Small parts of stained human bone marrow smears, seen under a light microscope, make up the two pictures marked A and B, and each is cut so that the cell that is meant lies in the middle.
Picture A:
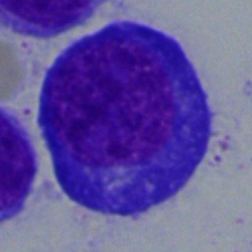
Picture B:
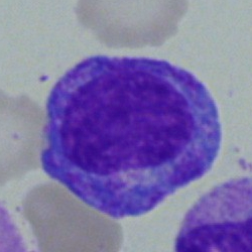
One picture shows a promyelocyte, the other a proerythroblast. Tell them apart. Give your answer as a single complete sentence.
Picture B shows a promyelocyte, while picture A shows a proerythroblast.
